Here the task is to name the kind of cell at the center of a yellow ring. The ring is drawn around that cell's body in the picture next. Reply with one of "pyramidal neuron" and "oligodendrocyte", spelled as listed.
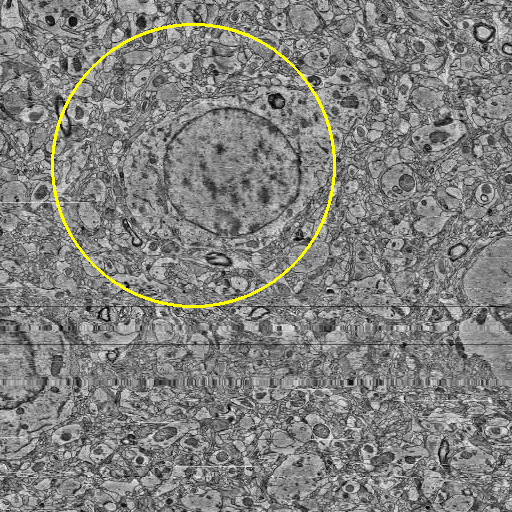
pyramidal neuron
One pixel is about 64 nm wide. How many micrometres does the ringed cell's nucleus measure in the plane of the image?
Approximately 9 micrometres across, in this plane.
